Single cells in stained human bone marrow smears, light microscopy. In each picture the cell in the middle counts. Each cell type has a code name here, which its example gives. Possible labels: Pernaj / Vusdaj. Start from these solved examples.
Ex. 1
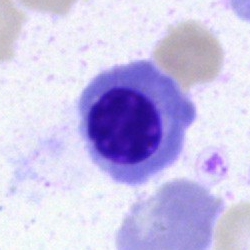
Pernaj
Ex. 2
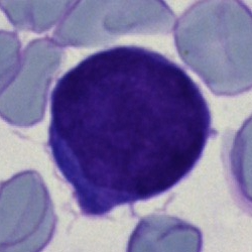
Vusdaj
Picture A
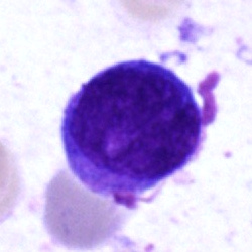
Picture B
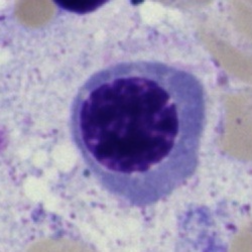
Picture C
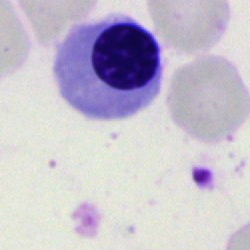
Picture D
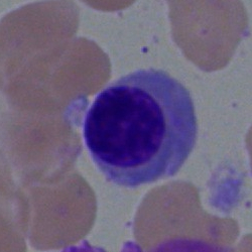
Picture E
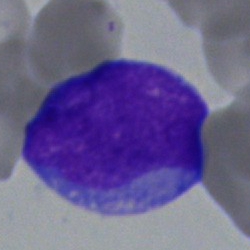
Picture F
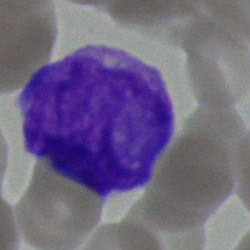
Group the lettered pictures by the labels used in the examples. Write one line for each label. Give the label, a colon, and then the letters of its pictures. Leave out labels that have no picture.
Pernaj: B, C, D
Vusdaj: A, E, F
